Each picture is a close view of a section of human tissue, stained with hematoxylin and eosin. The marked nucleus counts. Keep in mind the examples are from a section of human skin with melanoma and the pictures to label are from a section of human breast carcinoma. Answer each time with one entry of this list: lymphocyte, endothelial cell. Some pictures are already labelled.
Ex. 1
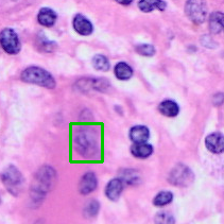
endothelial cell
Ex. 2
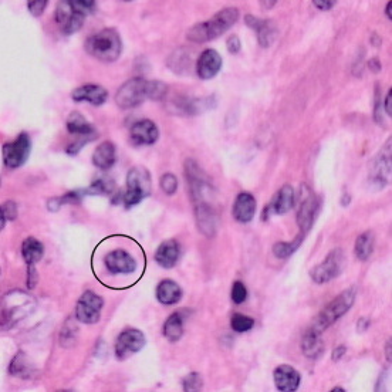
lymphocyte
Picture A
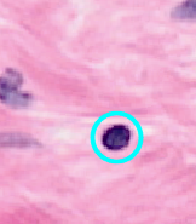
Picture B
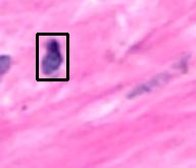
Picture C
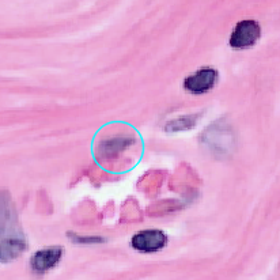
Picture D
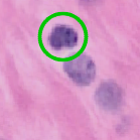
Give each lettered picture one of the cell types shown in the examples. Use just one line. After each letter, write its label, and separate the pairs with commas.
A lymphocyte, B lymphocyte, C endothelial cell, D lymphocyte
